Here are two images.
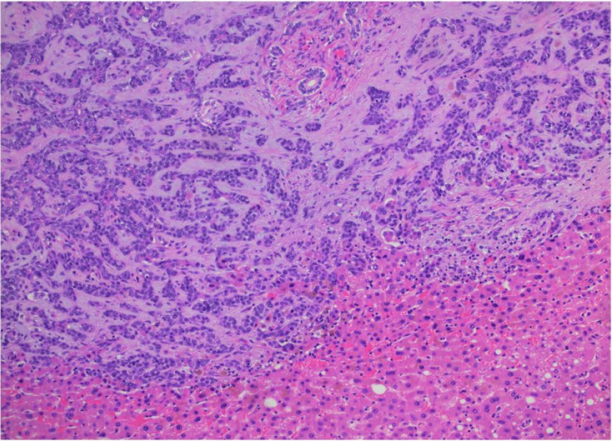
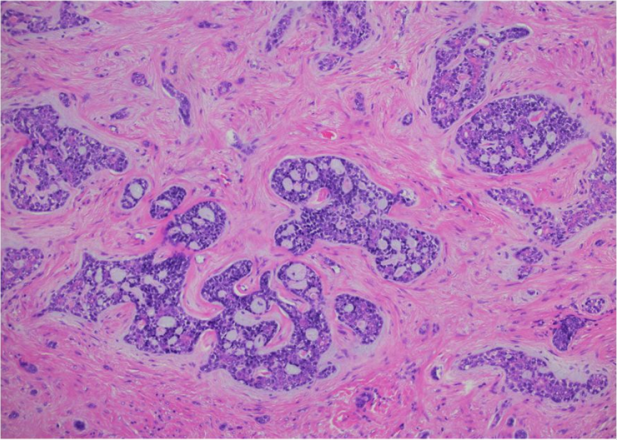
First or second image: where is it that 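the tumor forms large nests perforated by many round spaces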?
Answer: The second image.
